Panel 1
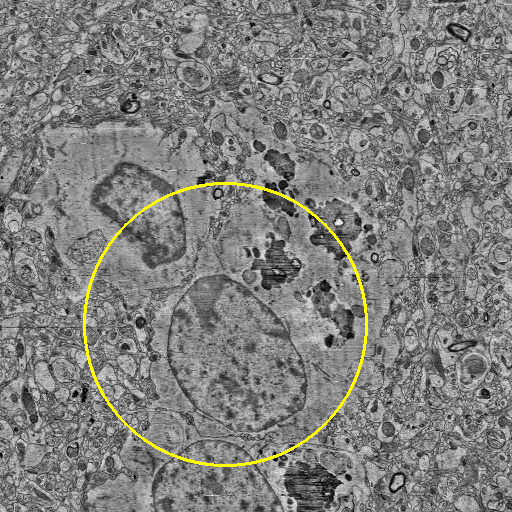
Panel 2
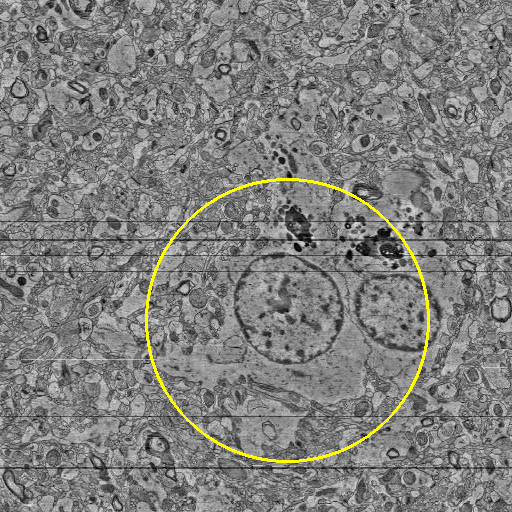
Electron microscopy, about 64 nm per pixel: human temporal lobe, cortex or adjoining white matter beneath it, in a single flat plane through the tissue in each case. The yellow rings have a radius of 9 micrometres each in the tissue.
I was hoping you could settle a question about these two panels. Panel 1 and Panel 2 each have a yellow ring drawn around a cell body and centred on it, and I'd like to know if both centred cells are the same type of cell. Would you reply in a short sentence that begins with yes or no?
Yes, both are the same type of cell.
